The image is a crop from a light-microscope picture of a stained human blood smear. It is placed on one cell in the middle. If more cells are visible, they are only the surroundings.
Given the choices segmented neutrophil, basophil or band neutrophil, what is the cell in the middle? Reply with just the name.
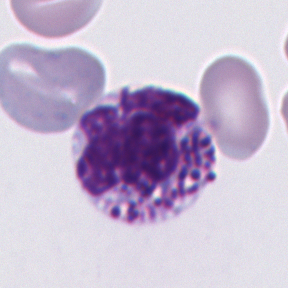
basophil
